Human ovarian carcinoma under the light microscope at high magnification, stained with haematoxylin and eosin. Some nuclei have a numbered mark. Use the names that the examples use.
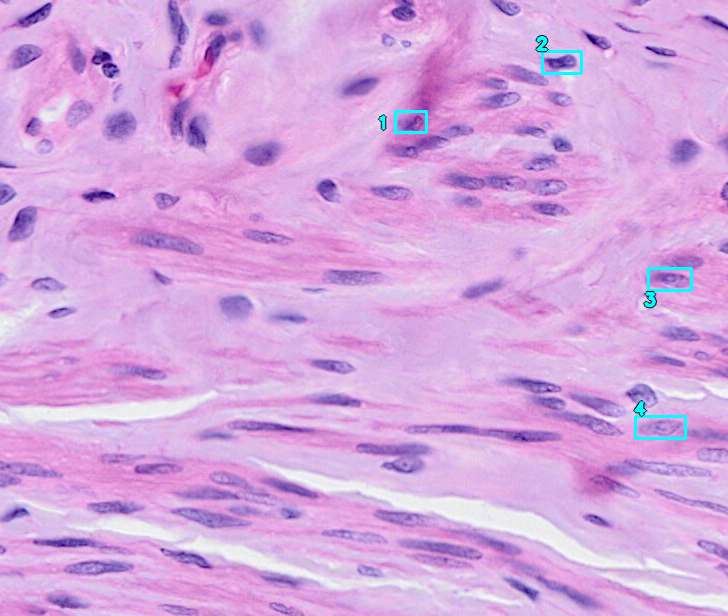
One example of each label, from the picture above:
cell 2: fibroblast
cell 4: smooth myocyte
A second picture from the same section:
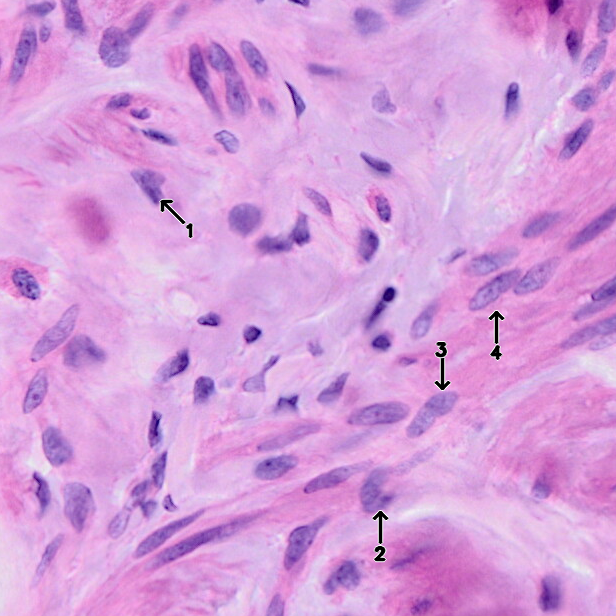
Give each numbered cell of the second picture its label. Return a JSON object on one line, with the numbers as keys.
{"1": "fibroblast", "2": "smooth myocyte", "3": "smooth myocyte", "4": "smooth myocyte"}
